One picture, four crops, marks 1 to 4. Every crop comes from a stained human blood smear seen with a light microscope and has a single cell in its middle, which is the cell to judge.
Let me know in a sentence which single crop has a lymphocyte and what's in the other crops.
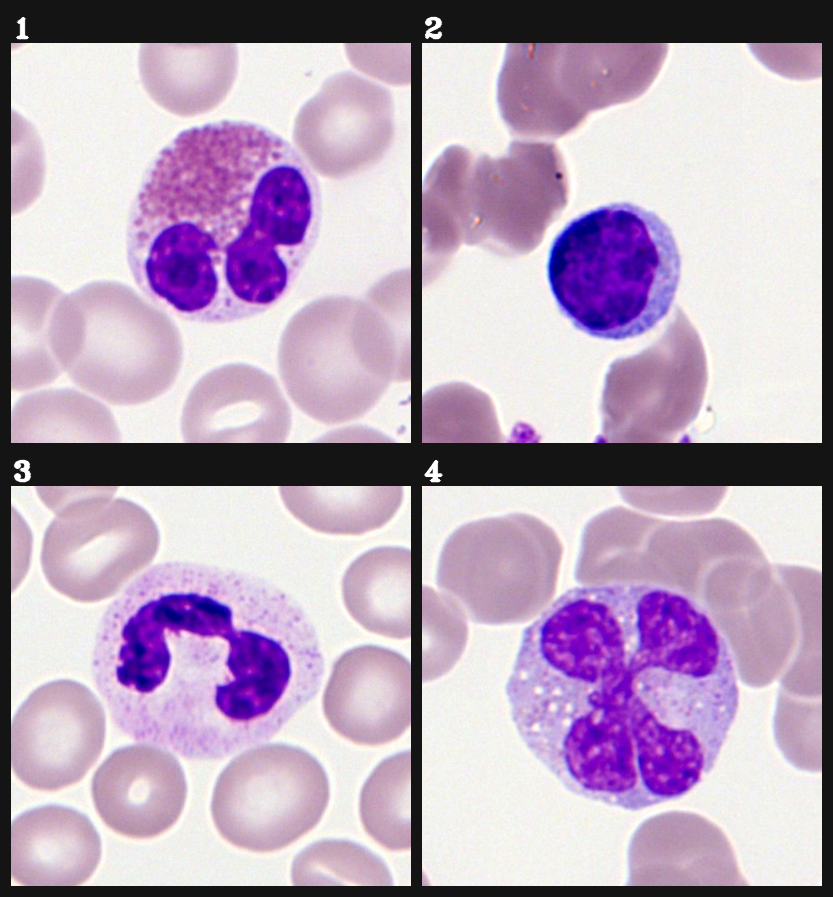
Crop 2 shows a lymphocyte in its middle, while crop 1 is an eosinophil, crop 3 is a neutrophil and crop 4 is a monocyte.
